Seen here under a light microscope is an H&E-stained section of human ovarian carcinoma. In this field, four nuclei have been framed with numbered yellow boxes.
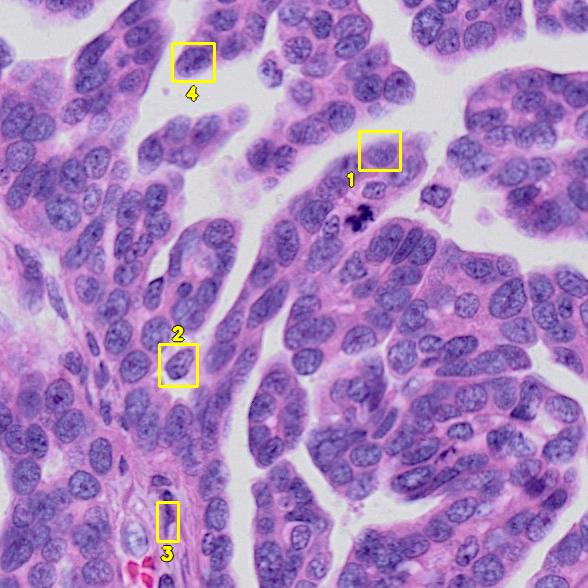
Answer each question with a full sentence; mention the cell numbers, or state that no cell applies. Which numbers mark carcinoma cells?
The cells marked with the numbers 1 and 4 are carcinoma cells.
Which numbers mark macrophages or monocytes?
With the exception of cell 2, no marked cell is a macrophage or monocyte.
